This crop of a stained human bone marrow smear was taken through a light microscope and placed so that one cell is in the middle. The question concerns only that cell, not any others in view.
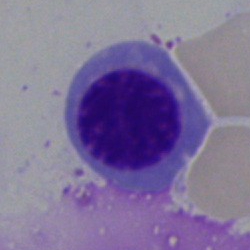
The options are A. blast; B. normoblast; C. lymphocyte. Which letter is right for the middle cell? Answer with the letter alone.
B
